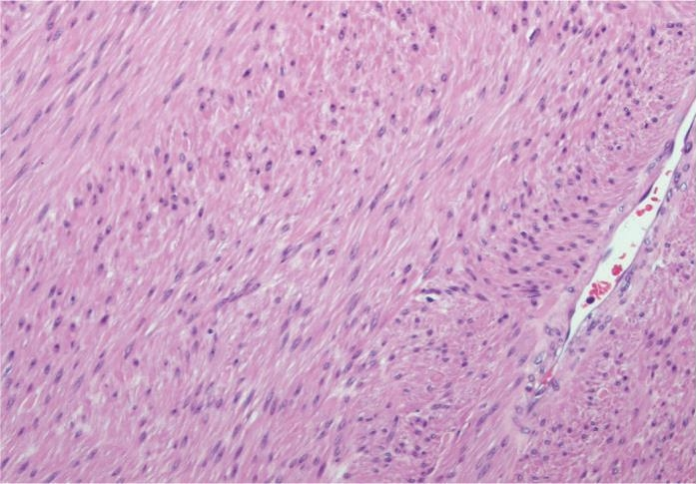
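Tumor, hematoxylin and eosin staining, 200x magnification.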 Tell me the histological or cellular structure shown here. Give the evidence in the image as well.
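Intersecting fascicles. Bundles of elongated cells run in different directions. Some bundles are cut lengthwise and others across.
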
